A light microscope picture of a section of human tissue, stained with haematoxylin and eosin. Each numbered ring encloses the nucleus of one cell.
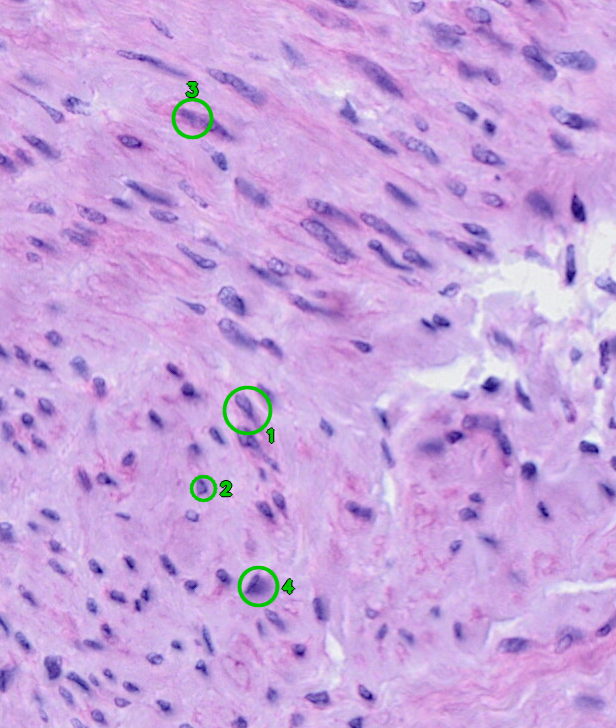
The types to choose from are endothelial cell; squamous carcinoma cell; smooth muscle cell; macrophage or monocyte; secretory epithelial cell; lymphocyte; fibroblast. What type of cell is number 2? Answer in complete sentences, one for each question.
The cell identified by number 2 is a smooth muscle cell.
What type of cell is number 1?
Within this field of view, the cell labelled 1 is a smooth muscle cell.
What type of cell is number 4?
Recognised here as a fibroblast is the cell numbered 4.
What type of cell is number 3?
In this section, the cell tagged 3 is a smooth muscle cell.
